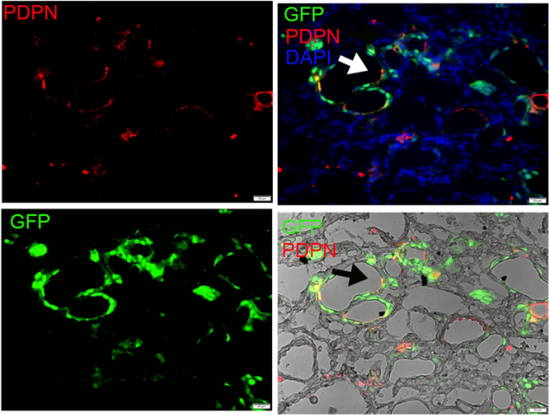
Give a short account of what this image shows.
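Lung parenchyma with rounded air spaces of alveolar size whose walls are lined by thin, flattened cells, several of which fluoresce green. Elsewhere, green cells are plumper and clustered in the septa between the spaces, among many blue nuclei. In the view overlaid on transmitted light, the thin septa bounding the empty air spaces are clearly visible.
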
